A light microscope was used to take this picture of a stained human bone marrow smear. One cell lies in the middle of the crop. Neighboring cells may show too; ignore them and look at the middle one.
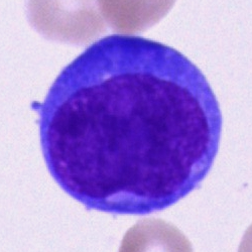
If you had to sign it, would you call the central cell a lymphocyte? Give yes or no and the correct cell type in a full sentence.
No, rather than being a lymphocyte, the central cell is a blast.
